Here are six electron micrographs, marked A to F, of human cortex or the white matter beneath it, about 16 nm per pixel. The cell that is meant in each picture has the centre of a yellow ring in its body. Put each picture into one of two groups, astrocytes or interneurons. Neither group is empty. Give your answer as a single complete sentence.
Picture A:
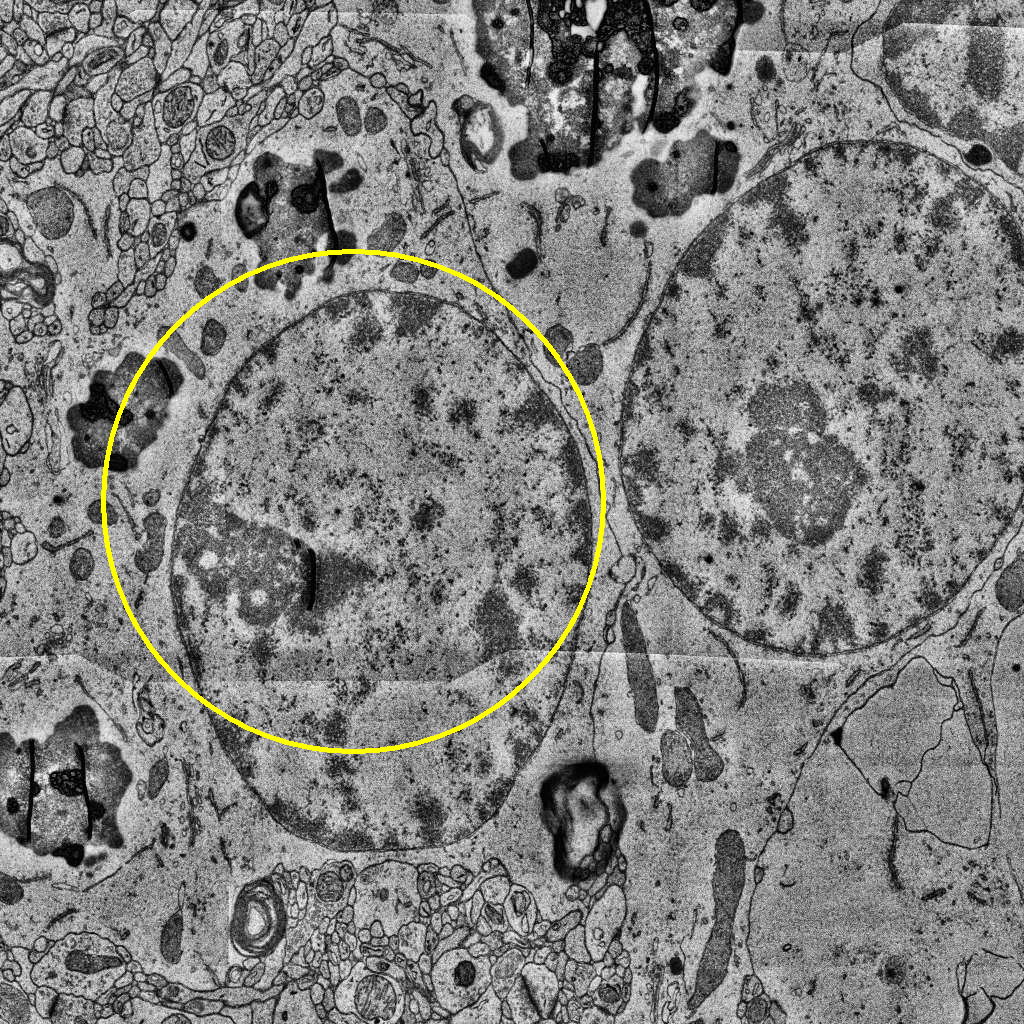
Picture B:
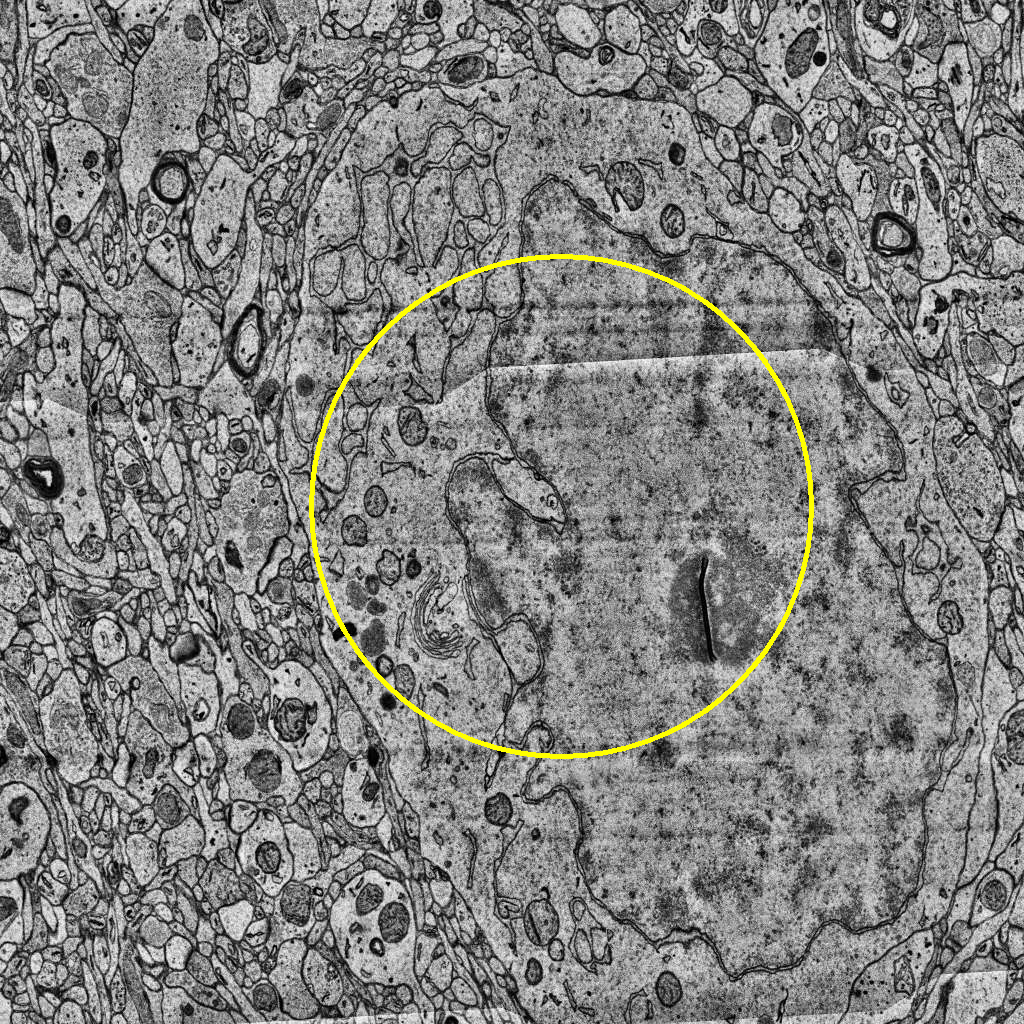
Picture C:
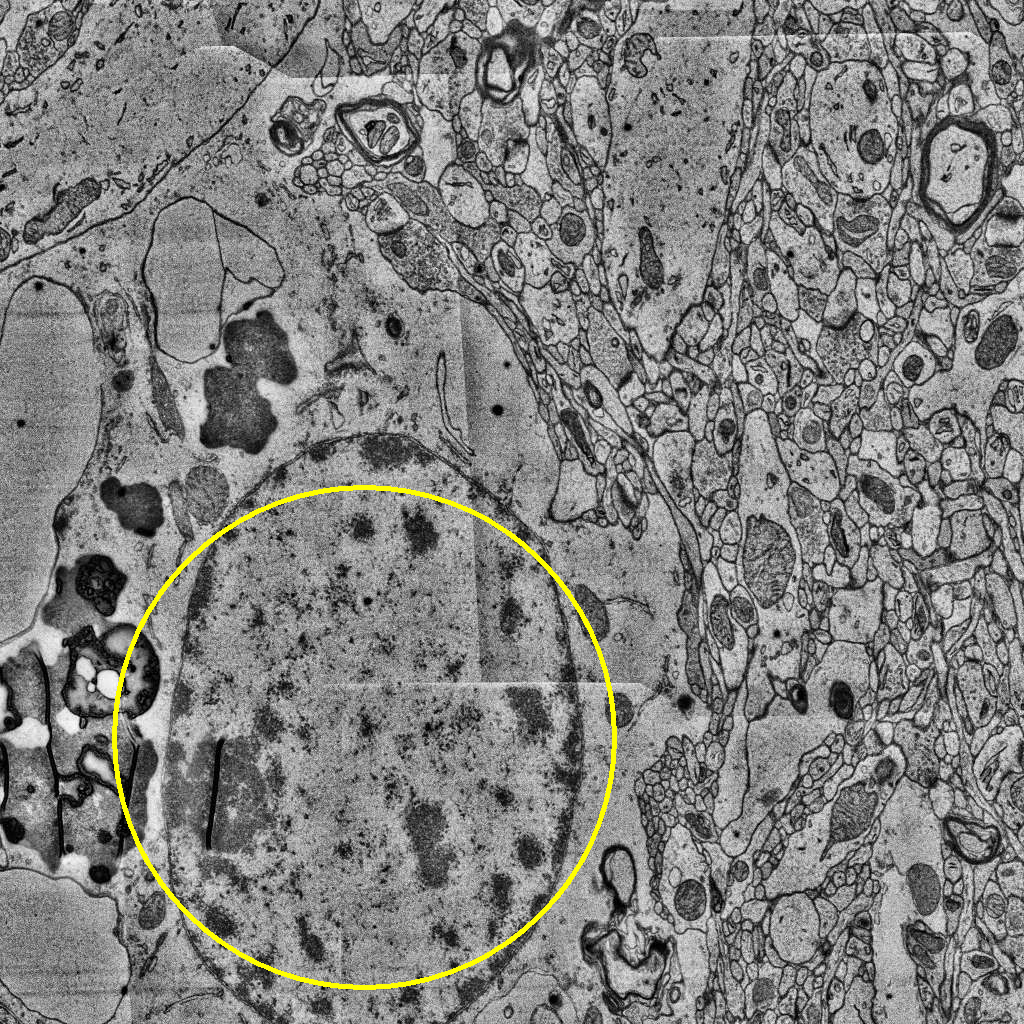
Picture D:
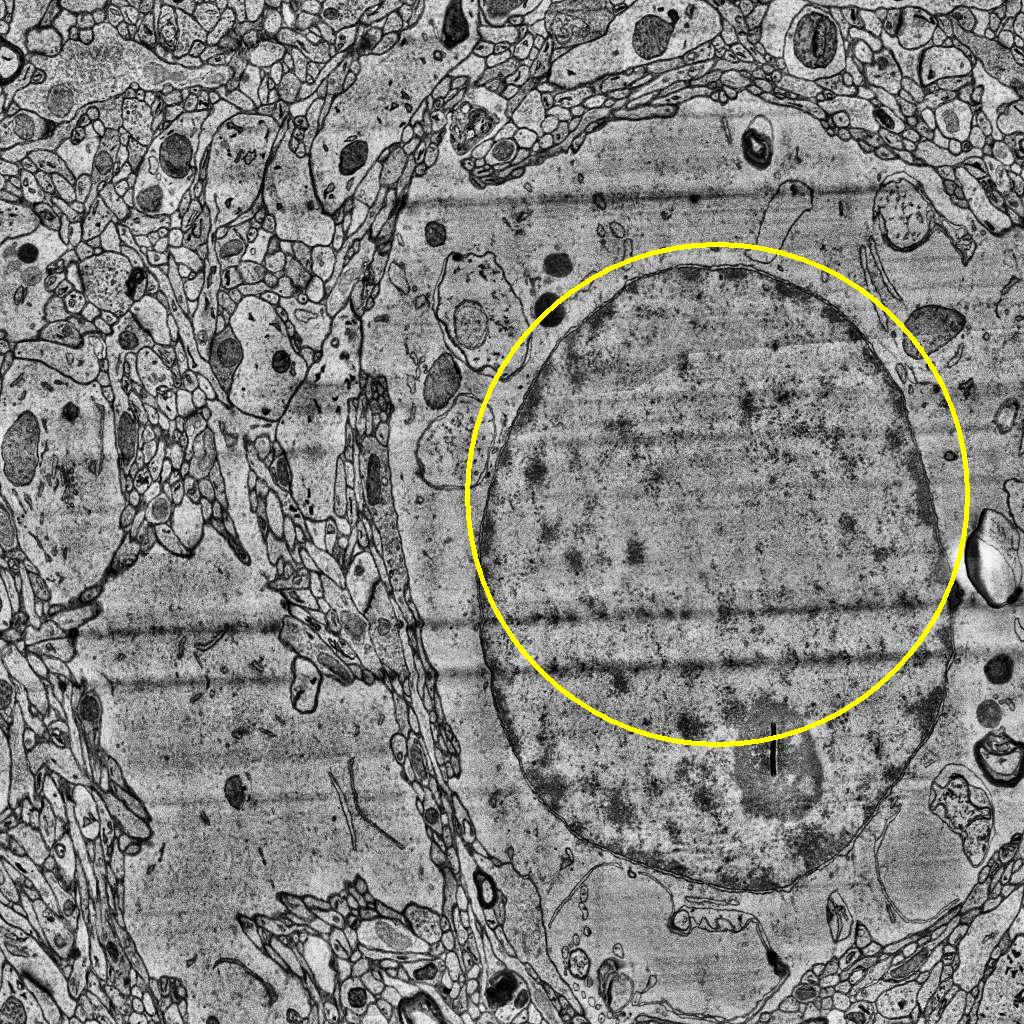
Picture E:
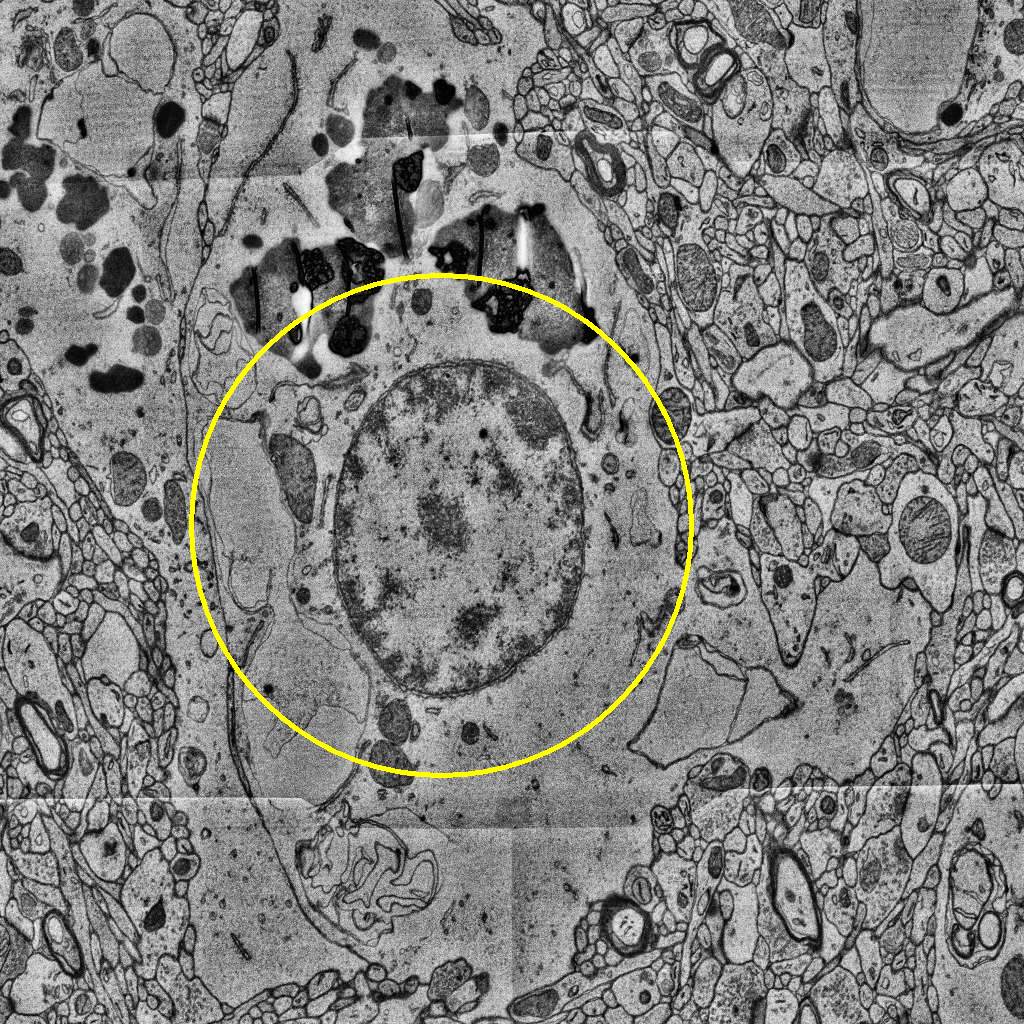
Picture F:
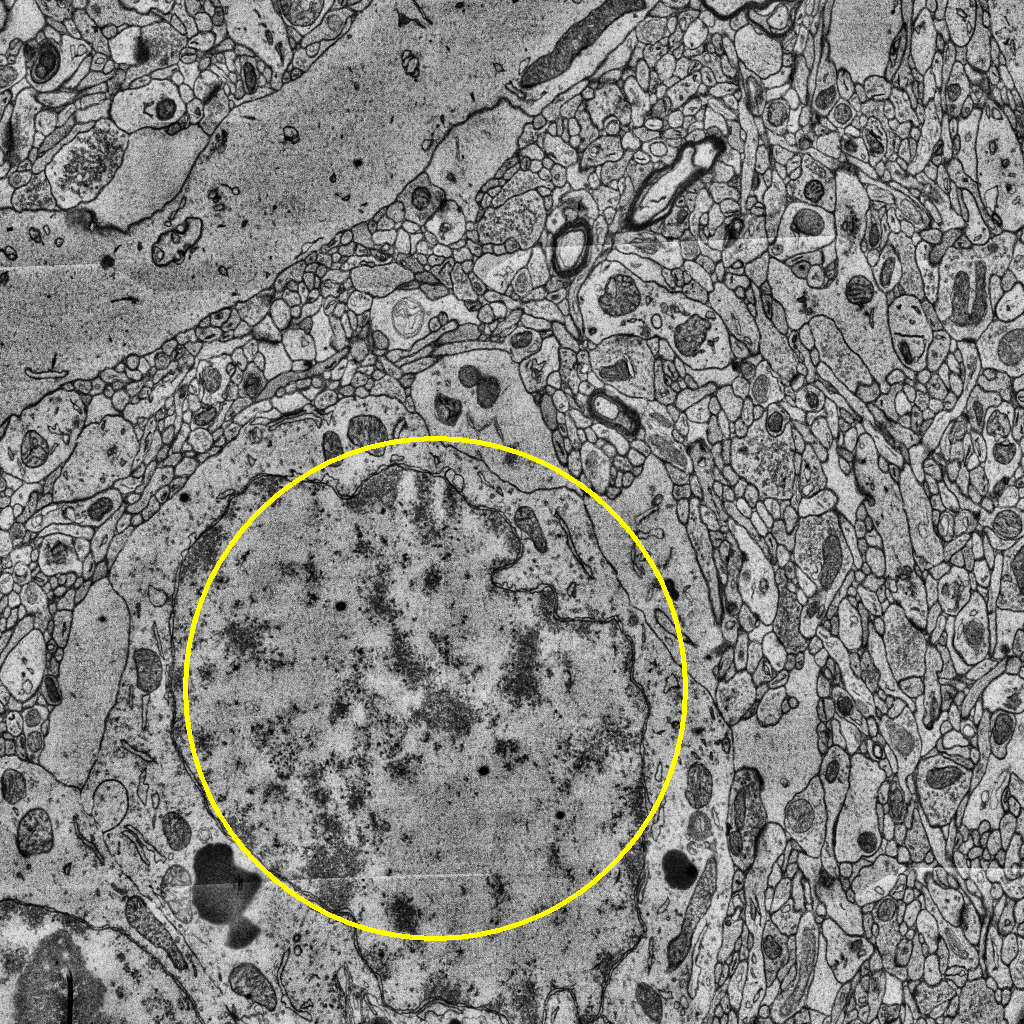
Pictures A, C, D and E show astrocytes, and pictures B and F show interneurons.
